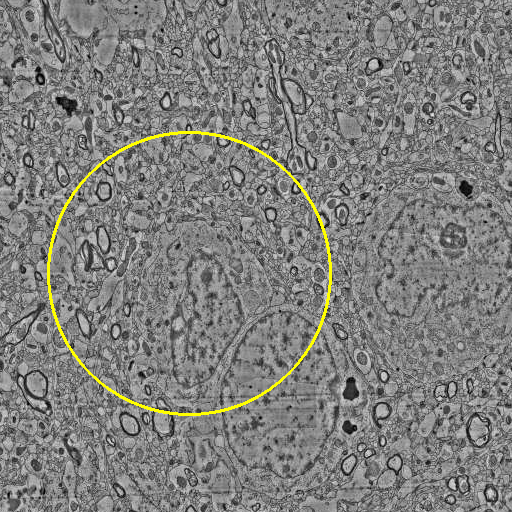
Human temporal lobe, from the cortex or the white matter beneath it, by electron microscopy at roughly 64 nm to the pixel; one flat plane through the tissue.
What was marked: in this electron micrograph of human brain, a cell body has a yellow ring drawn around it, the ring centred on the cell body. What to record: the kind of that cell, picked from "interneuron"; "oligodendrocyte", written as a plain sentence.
The centred cell is an interneuron.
